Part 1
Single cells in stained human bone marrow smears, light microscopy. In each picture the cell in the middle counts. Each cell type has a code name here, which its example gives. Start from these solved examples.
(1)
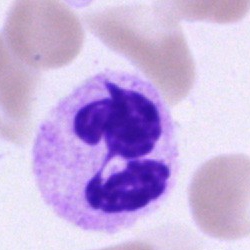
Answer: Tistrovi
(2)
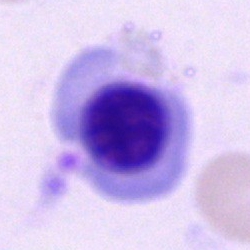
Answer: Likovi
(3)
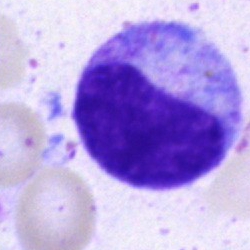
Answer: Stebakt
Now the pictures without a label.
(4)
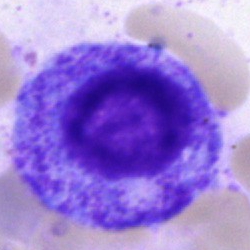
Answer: Stebakt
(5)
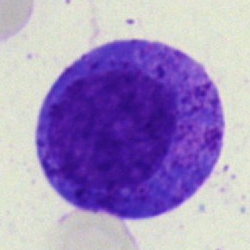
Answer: Stebakt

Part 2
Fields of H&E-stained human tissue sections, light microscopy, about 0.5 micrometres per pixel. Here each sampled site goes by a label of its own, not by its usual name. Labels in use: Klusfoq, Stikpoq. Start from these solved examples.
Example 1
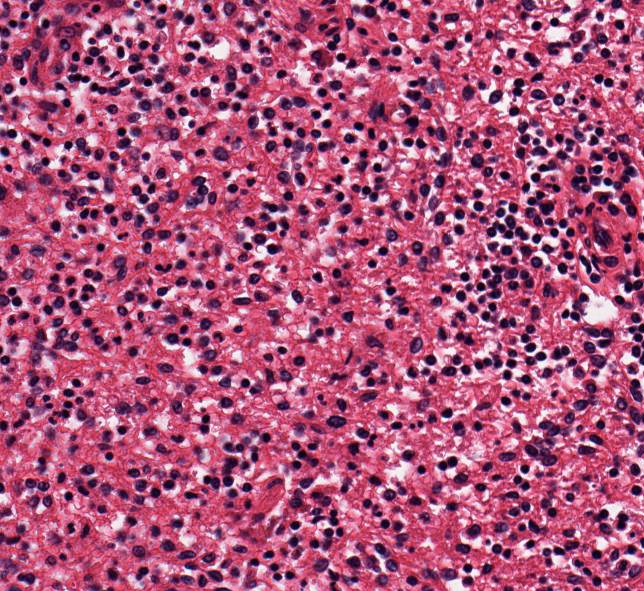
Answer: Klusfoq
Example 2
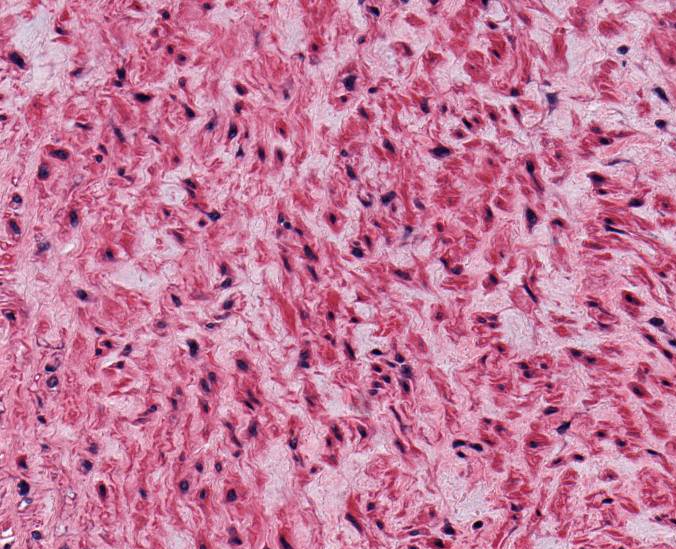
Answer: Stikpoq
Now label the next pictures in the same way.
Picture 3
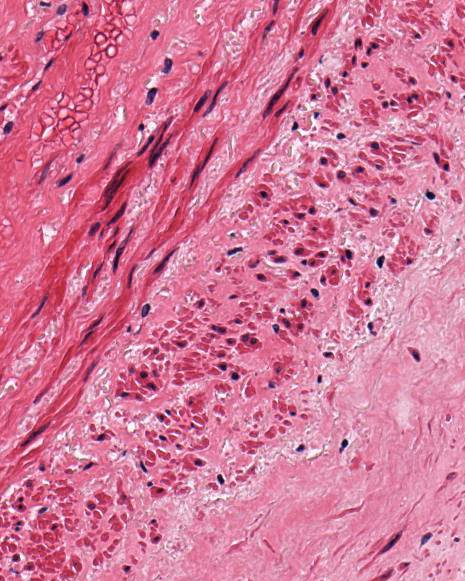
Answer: Stikpoq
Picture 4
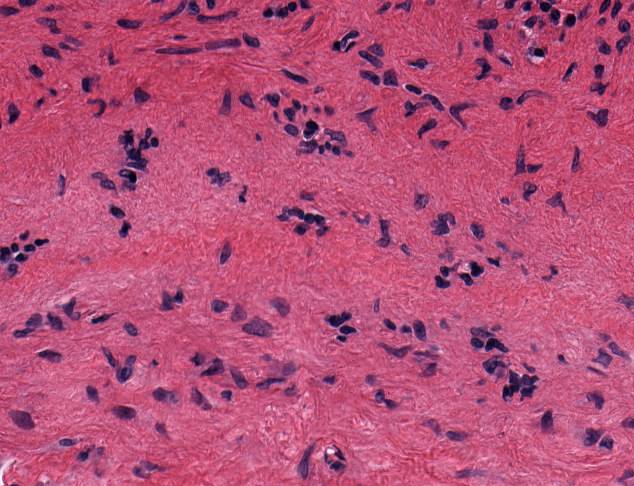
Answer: Klusfoq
